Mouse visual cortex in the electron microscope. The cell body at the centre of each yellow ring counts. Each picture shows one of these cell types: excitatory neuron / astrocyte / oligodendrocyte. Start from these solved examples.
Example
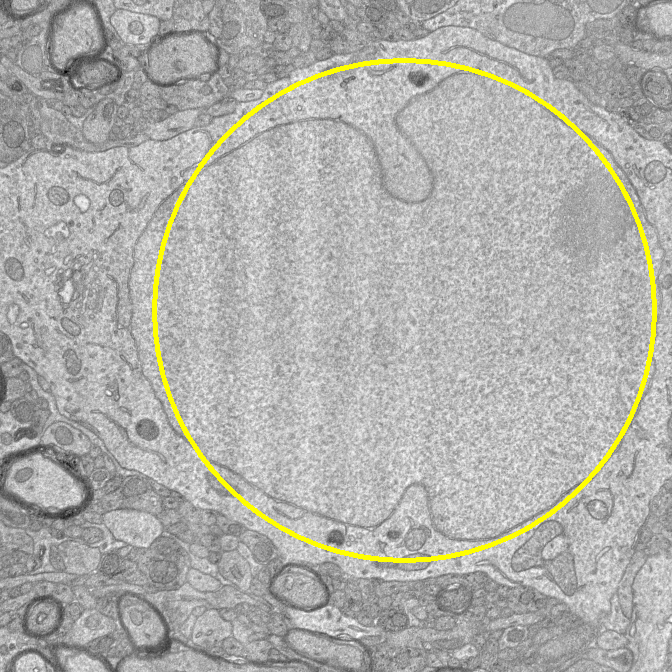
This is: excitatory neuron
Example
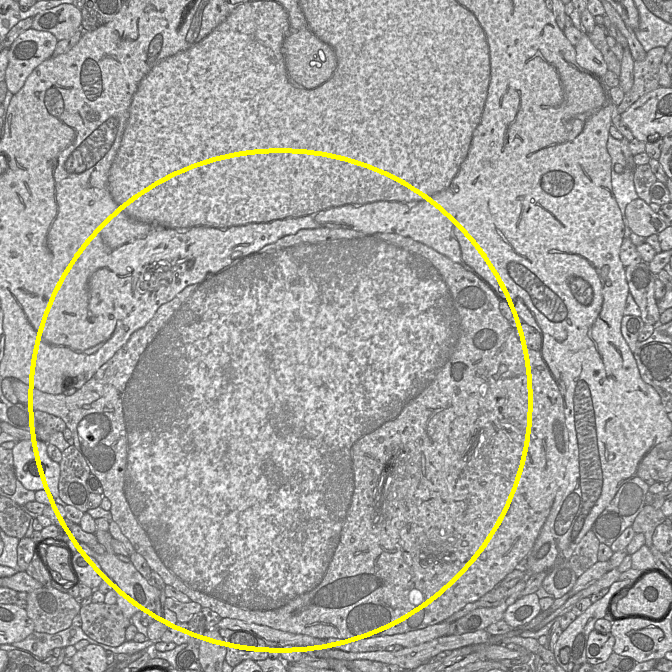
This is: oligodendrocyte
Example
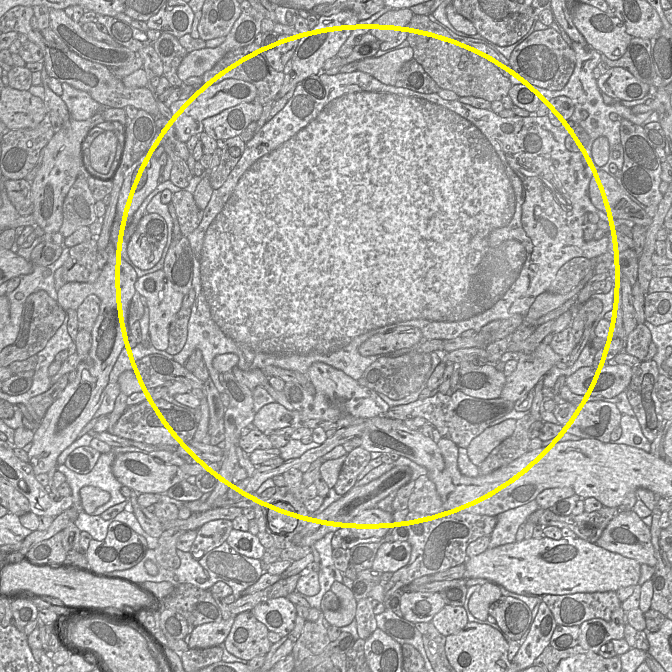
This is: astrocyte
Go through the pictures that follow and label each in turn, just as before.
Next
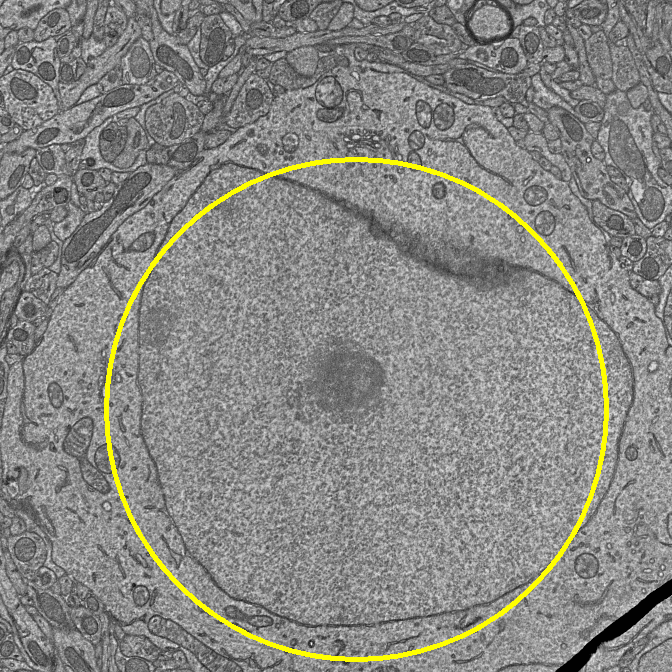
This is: excitatory neuron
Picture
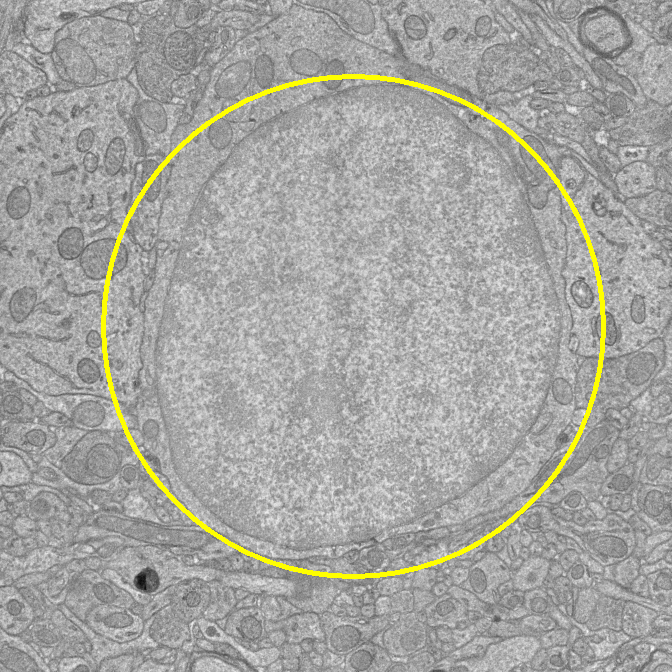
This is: oligodendrocyte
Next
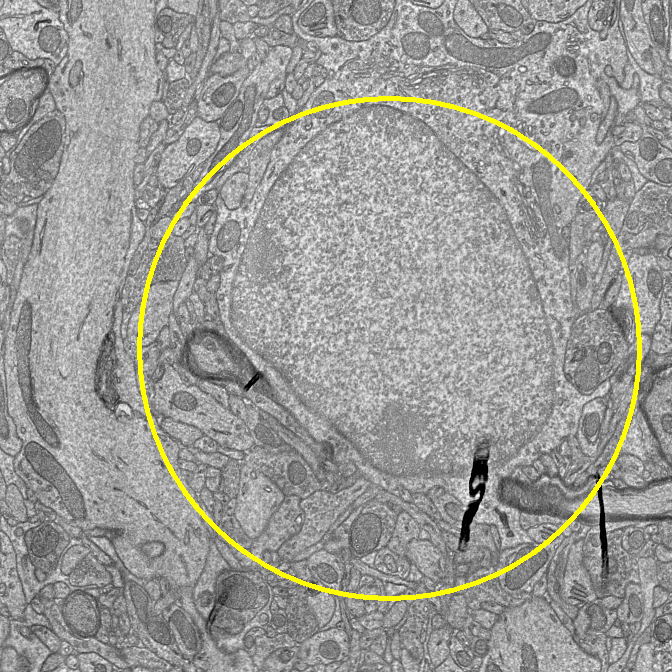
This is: astrocyte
